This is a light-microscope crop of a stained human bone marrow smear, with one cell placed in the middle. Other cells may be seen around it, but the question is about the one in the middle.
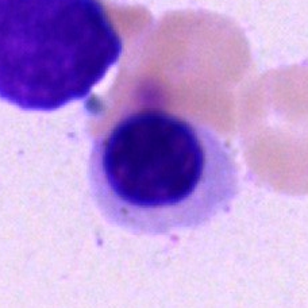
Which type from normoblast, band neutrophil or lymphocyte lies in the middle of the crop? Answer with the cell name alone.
normoblast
